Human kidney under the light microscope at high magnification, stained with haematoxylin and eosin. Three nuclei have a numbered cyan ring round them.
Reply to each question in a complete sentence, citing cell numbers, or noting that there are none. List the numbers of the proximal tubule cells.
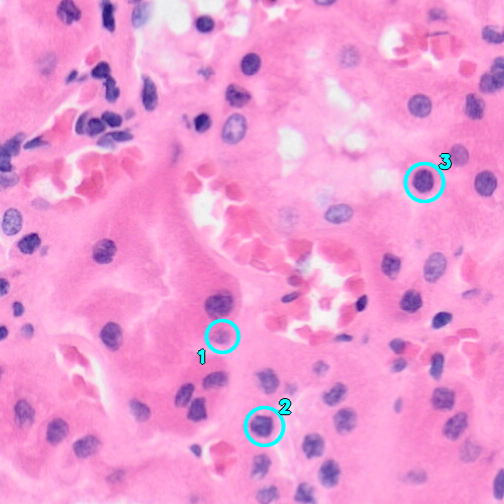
Cells 1 and 3 share one type; they are proximal tubule cells.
